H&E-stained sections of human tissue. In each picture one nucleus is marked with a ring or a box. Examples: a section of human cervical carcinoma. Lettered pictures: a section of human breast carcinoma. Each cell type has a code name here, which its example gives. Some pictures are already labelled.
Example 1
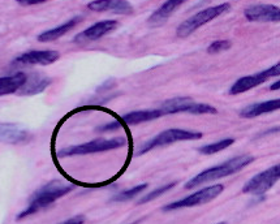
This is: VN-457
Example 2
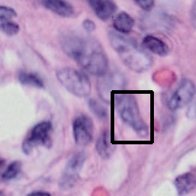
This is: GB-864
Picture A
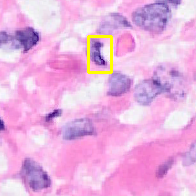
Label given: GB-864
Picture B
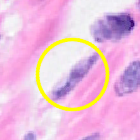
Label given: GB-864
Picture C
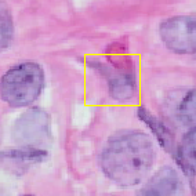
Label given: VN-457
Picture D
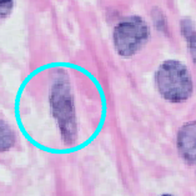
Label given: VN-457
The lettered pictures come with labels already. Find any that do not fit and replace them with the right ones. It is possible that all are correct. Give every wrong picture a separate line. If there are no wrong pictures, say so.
B: VN-457, not GB-864
C: GB-864, not VN-457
